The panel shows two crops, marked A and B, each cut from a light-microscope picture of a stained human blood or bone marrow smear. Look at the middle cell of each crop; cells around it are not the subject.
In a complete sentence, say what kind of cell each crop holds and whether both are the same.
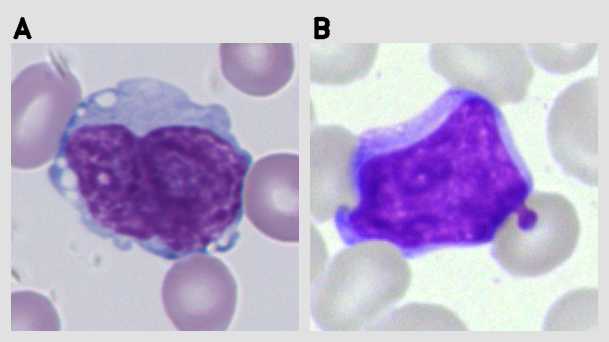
Yes, both crops show blasts as the central cells.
